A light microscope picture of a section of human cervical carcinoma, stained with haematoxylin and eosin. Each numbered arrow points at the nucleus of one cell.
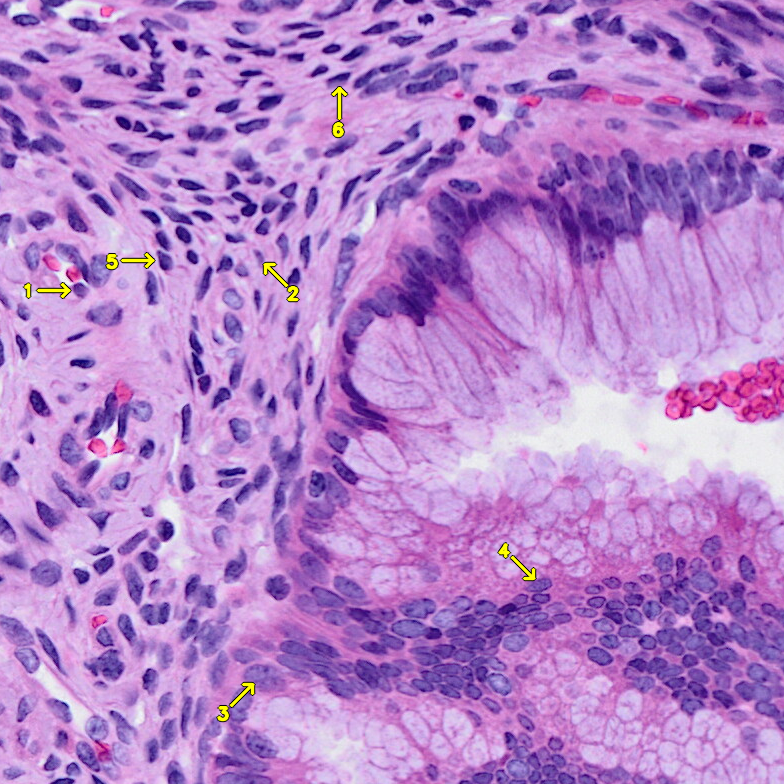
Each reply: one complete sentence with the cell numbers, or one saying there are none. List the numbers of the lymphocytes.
The marked and numbered cells comprise no lymphocytes.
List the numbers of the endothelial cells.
Among the labelled cells, only the cell labelled 1 is an endothelial cell.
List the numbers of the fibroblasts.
The cells with numbers 2, 5 and 6 are fibroblasts by type.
